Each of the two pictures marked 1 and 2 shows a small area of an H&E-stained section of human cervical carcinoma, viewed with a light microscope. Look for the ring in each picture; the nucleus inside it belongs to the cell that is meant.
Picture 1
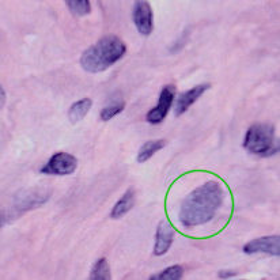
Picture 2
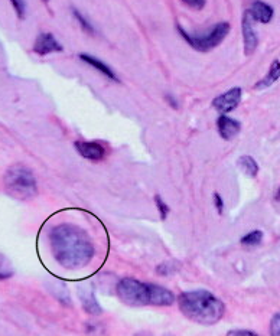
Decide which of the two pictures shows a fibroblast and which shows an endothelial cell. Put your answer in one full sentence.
Picture 1 is of a fibroblast, and picture 2 is of an endothelial cell.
